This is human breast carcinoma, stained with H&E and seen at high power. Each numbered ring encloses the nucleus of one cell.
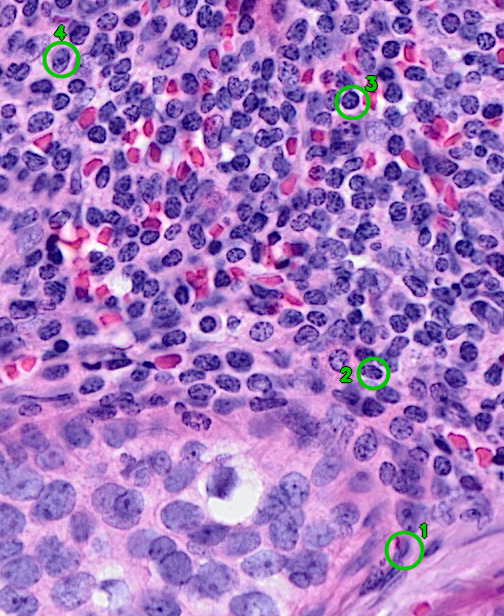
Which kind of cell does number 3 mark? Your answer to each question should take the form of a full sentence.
The cell that bears the number 3 is a lymphocyte.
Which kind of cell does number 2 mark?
Cell 2 is classified as a lymphocyte.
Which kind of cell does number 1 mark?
The numeral 1 marks an endothelial cell in this section.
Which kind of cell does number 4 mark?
Nucleus 4 in this section belongs to a lymphocyte.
